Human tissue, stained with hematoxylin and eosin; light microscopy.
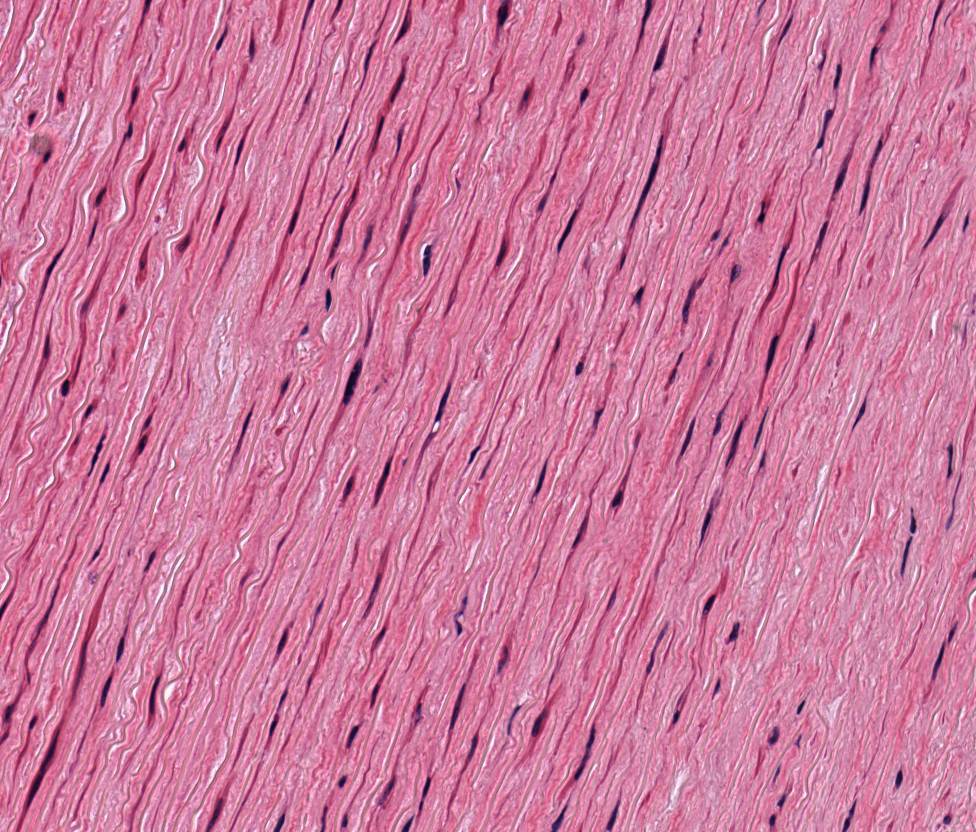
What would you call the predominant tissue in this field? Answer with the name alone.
tunica media of an artery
